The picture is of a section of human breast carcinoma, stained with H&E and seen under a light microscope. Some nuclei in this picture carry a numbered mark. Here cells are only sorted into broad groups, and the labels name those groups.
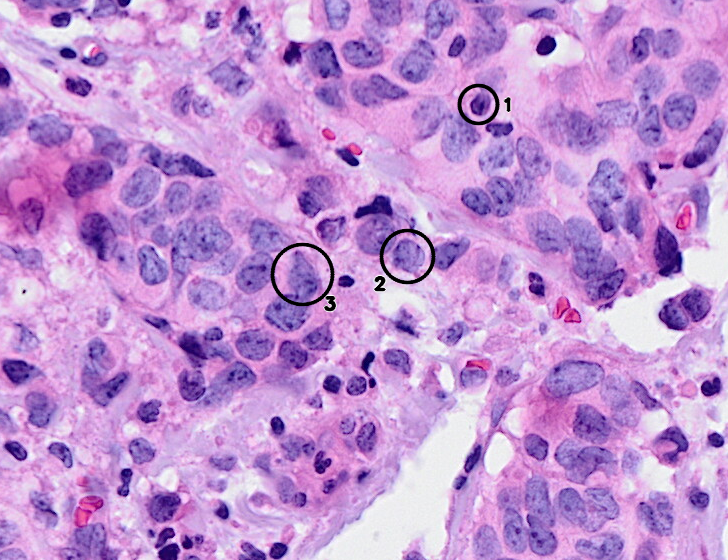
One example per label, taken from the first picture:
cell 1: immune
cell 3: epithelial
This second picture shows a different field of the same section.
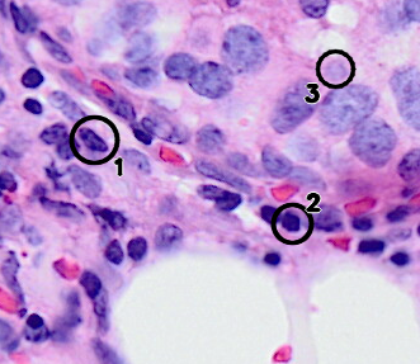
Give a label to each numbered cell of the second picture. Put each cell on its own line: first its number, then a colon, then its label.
1: immune
2: immune
3: epithelial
